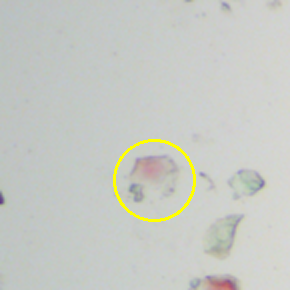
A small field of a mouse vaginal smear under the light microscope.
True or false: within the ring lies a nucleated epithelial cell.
True: a nucleated epithelial cell lies within the ring.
